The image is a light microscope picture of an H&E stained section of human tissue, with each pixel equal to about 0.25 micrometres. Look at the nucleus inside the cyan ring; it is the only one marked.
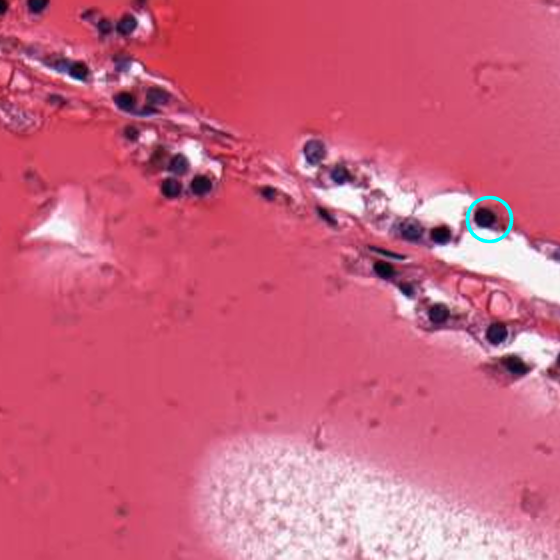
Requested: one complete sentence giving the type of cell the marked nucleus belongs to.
In this section, the marked nucleus is that of a thyroid follicular cell.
